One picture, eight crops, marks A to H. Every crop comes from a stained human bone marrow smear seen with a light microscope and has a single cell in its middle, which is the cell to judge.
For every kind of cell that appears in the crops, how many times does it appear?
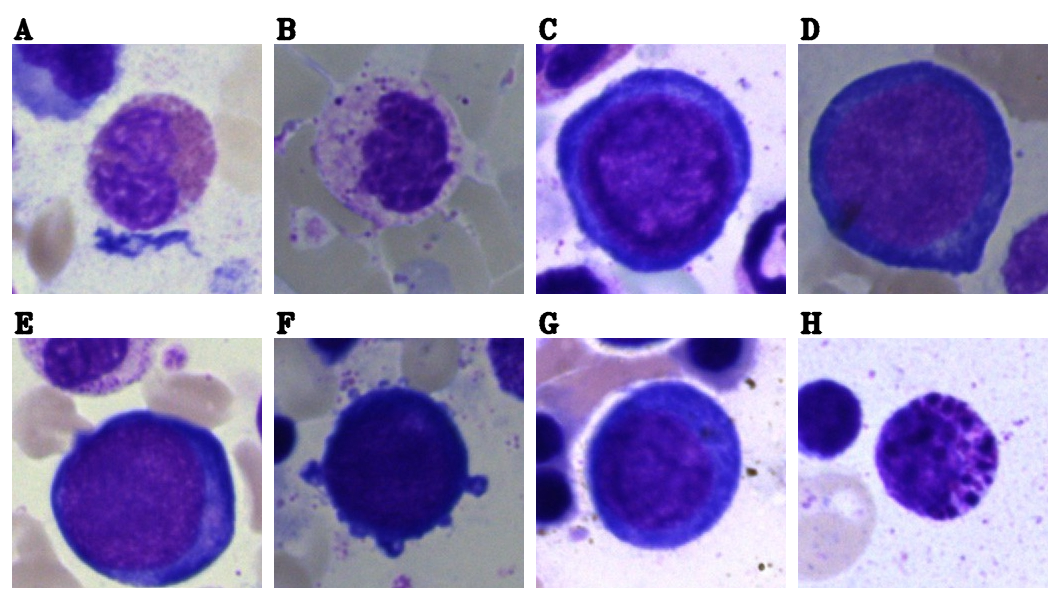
proerythroblast: 5
basophil: 3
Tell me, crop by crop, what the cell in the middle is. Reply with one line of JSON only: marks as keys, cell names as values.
{"A": "basophil", "B": "basophil", "C": "proerythroblast", "D": "proerythroblast", "E": "proerythroblast", "F": "proerythroblast", "G": "proerythroblast", "H": "basophil"}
